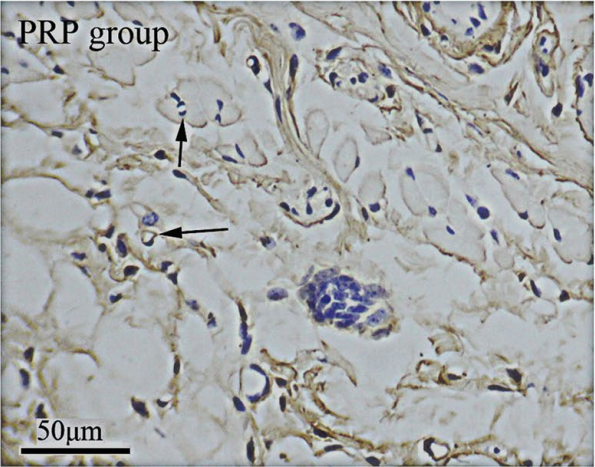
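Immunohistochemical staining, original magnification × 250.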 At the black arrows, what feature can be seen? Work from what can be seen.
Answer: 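Each arrow points to a small round profile with a narrow central space. The wall of each profile is thin and carries a small blue nucleus.
Conclusion: vessels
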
